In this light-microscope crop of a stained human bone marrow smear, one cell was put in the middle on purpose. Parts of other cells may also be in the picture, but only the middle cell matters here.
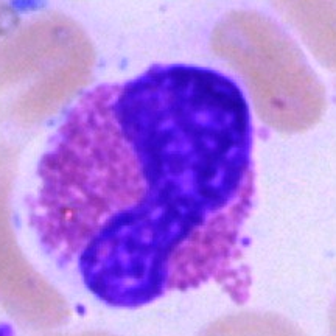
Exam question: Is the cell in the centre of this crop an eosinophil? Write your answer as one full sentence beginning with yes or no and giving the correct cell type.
Yes, the central cell here is an eosinophil.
